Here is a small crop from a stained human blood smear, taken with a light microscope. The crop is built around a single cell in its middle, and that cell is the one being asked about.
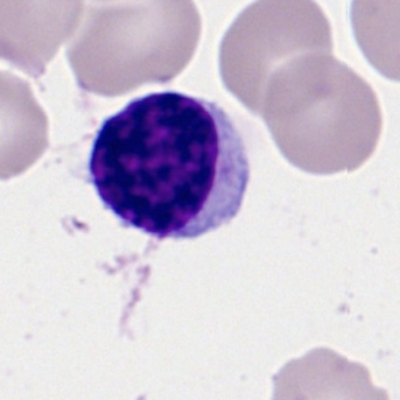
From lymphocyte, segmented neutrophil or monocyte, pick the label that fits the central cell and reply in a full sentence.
The centrally placed cell is classified as a lymphocyte.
